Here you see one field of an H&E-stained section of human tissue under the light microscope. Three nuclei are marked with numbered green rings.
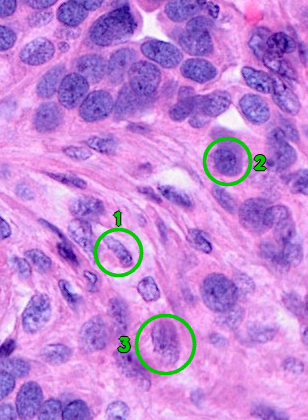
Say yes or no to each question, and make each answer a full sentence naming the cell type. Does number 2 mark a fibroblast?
No, the cell given number 2 is a carcinoma cell, as opposed to a fibroblast.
